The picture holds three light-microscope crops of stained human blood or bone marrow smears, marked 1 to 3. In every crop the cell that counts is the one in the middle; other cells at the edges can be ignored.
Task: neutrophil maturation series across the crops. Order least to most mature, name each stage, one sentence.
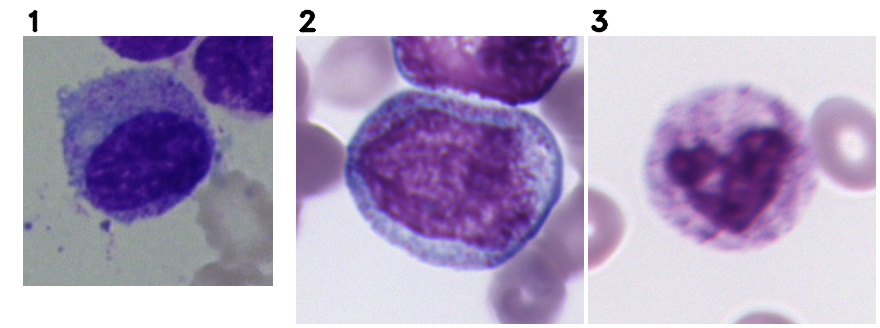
In rising order of maturity, the crops are crop 2 (a promyelocyte), crop 1 (a myelocyte) and crop 3 (a segmented neutrophil).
